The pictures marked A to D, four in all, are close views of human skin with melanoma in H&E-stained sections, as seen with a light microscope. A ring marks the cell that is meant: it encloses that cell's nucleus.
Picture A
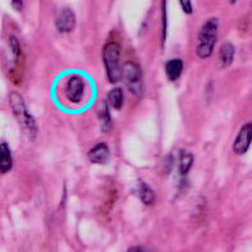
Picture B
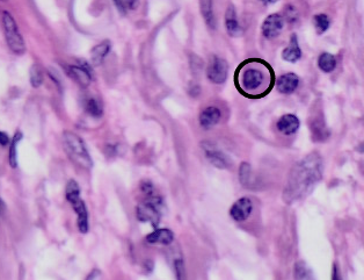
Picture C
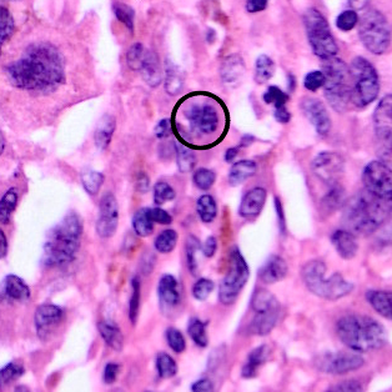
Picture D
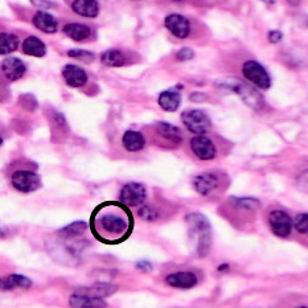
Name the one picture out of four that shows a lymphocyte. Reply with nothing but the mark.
A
